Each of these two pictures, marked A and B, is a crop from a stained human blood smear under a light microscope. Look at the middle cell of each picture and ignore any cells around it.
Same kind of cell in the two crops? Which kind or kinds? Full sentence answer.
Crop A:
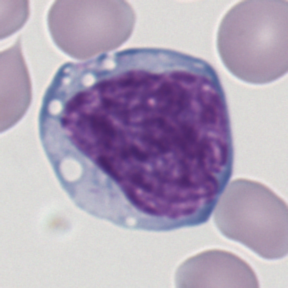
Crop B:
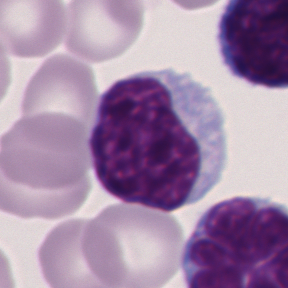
No, in crop A there is a myeloblast, and in crop B there is a typical lymphocyte.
